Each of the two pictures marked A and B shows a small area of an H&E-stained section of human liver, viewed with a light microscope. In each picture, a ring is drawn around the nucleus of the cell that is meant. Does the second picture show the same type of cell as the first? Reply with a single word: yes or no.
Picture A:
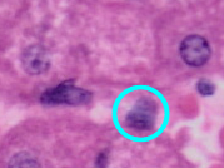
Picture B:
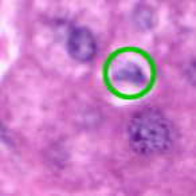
no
